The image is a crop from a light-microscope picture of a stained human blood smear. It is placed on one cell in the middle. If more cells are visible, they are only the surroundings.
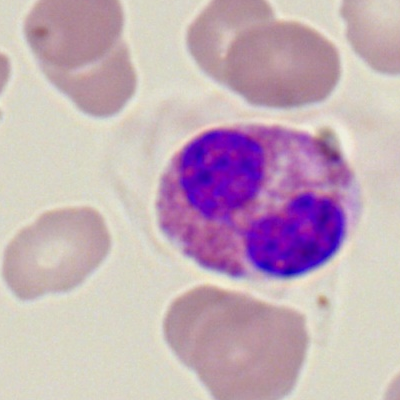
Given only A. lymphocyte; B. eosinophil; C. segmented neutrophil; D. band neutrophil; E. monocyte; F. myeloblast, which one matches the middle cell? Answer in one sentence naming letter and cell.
Seen at the centre of the crop is an eosinophil, so option B is correct.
